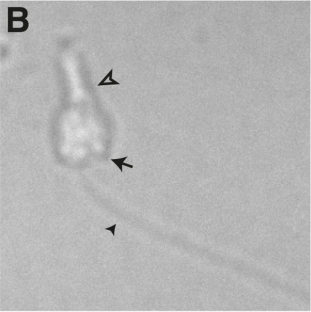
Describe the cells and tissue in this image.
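A single mature spermatozoon is seen in an unstained light micrograph. The head is small and compact, somewhat pear-shaped, with a rounded body containing a few refractile granules toward its rear. From the front of the head an elongated, tapering projection extends, the acrosome. From the rear, a long, thin, uniform flagellum trails off diagonally out of the field. The junction of head and tail, where the mitochondria sit, appears as a slightly denser rim at the back of the head. No other cells are in the field.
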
